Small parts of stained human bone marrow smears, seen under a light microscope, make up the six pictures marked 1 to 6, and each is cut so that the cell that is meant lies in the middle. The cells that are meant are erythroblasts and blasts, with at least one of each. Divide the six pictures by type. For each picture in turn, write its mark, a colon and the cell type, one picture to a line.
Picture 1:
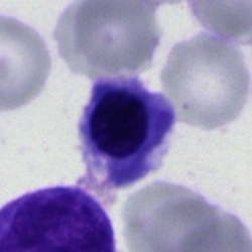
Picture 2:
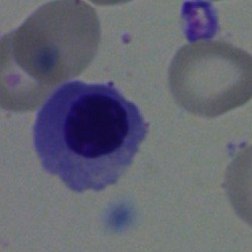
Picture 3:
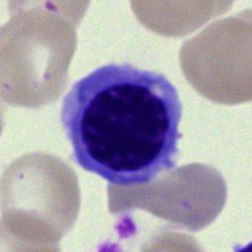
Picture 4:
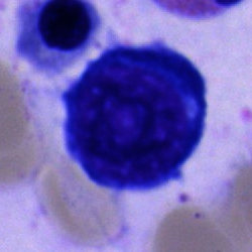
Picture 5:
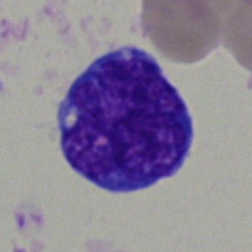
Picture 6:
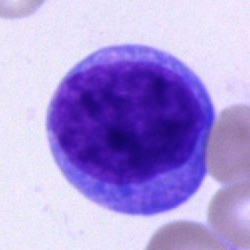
1: erythroblast
2: erythroblast
3: erythroblast
4: erythroblast
5: blast
6: blast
